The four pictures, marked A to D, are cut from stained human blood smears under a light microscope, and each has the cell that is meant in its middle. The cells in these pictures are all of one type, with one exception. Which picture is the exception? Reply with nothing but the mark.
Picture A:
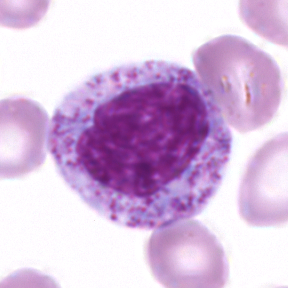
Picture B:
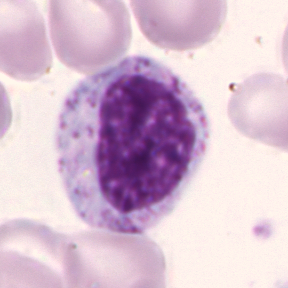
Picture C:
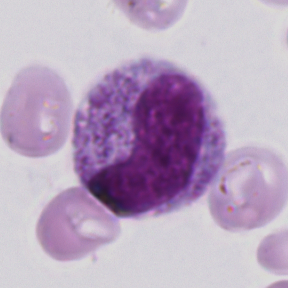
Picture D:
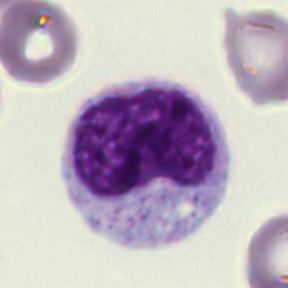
A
